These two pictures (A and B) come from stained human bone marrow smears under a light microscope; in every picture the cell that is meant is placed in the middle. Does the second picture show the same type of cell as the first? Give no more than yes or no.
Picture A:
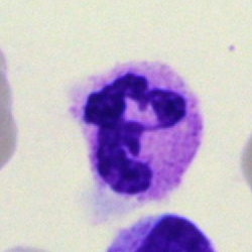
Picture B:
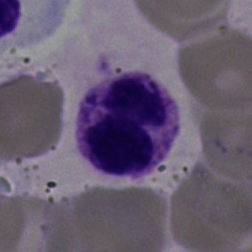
no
